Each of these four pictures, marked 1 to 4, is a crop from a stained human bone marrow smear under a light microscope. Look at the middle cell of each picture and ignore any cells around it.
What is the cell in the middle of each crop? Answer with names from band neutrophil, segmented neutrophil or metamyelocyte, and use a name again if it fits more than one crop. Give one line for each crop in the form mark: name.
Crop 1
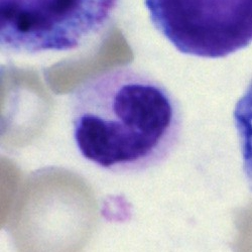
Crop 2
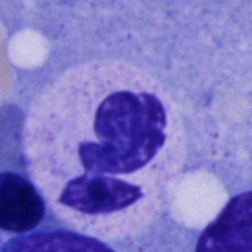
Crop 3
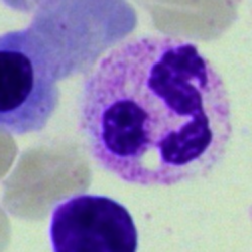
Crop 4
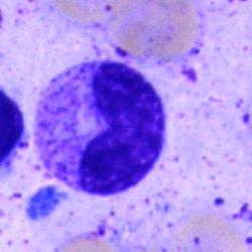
1: band neutrophil
2: segmented neutrophil
3: segmented neutrophil
4: metamyelocyte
